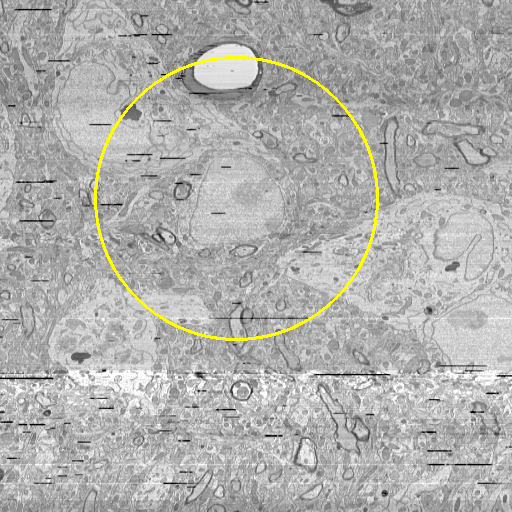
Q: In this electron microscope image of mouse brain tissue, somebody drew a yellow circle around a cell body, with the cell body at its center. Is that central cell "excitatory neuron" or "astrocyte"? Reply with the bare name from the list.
astrocyte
